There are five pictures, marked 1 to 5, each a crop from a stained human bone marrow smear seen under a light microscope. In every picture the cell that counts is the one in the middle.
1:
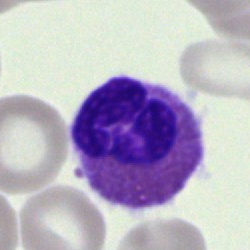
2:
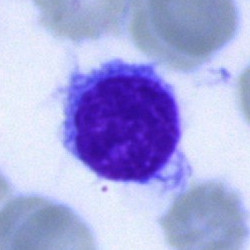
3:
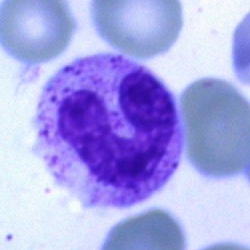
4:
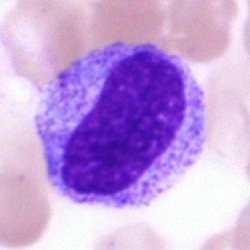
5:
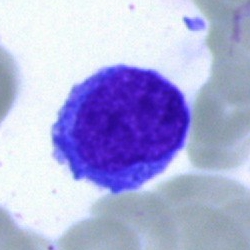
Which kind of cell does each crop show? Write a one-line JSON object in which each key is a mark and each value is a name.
{"1": "eosinophil", "2": "hairy cell", "3": "band neutrophil", "4": "metamyelocyte", "5": "blast"}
